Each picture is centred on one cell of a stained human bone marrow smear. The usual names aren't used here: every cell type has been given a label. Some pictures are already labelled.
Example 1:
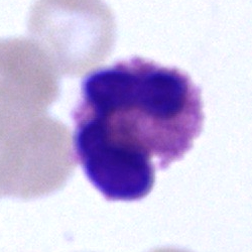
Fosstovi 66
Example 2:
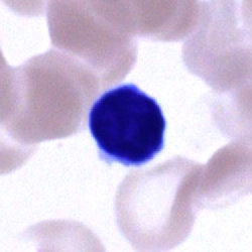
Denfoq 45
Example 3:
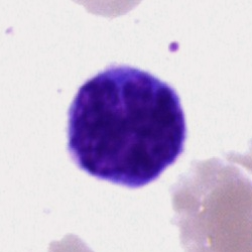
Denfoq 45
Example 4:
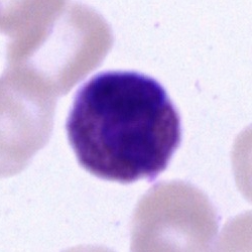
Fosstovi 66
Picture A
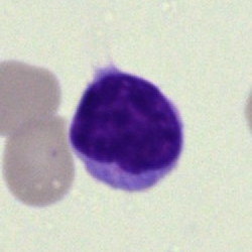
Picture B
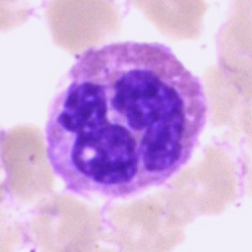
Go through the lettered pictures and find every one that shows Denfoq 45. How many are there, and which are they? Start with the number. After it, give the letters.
1, namely A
